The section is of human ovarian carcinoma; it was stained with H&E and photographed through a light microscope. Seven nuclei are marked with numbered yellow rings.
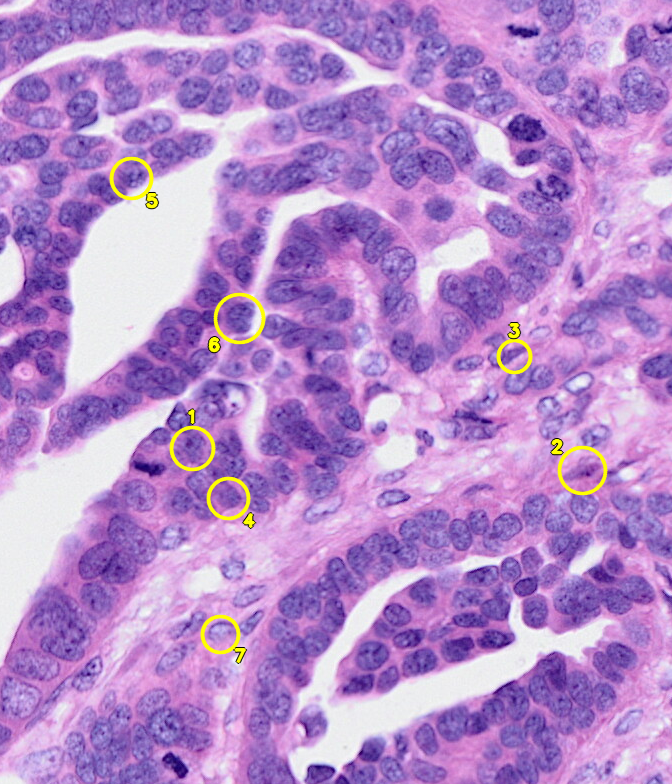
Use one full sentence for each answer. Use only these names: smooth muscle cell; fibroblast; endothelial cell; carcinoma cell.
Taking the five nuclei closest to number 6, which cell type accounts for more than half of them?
Around number 6, most of the five nearest nuclei are those of carcinoma cells.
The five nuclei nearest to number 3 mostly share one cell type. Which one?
Around number 3, most of the five nearest nuclei are those of fibroblasts.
